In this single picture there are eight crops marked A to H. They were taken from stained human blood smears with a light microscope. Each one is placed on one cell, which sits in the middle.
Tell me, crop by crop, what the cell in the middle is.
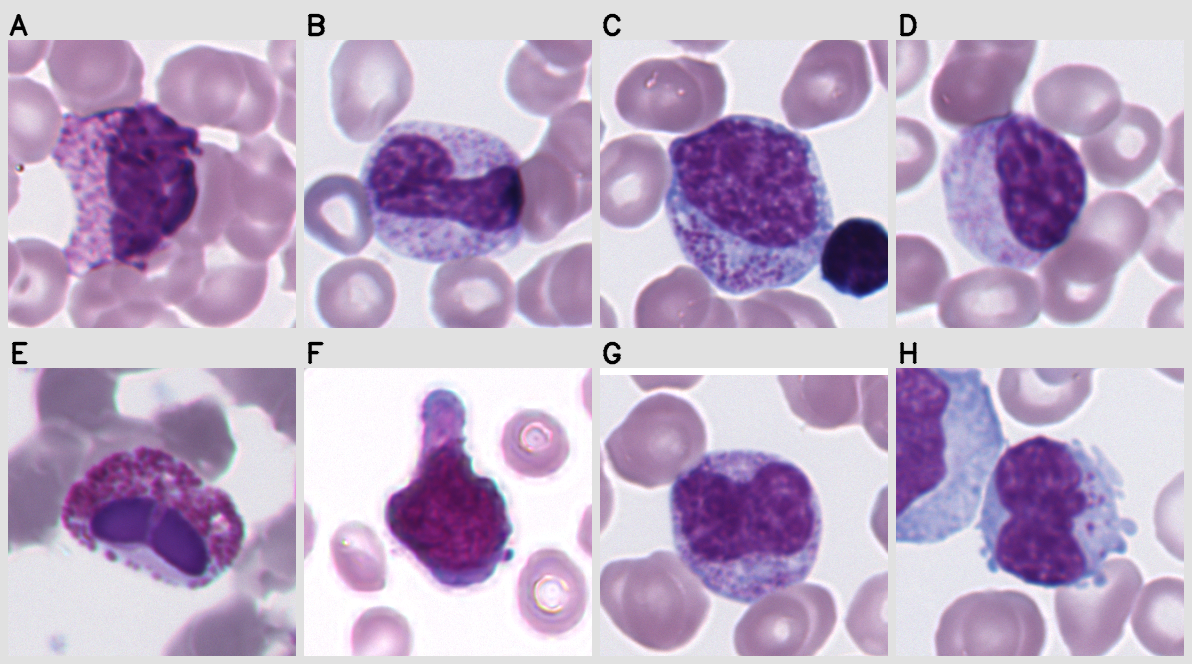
A: basophil
B: band neutrophil
C: promyelocyte
D: metamyelocyte
E: eosinophil
F: atypical promyelocyte
G: metamyelocyte
H: large granular lymphocyte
